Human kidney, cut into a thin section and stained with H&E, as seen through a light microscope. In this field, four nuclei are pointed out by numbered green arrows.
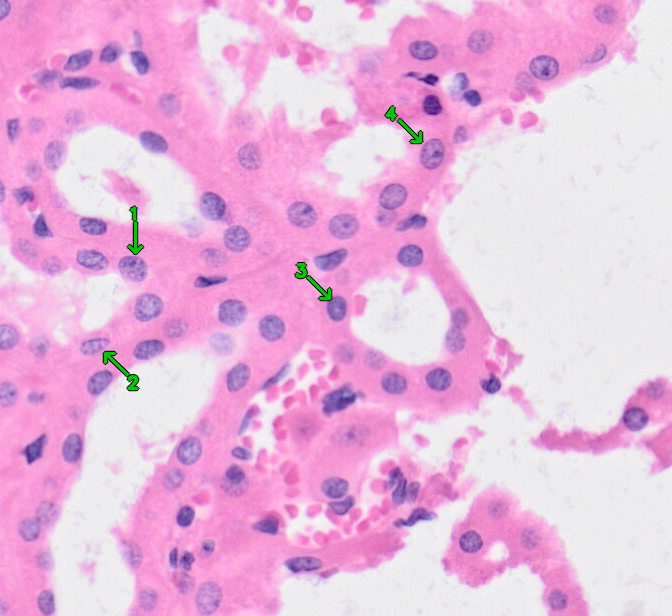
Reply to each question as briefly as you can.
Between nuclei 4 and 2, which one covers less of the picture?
2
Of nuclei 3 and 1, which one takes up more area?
1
